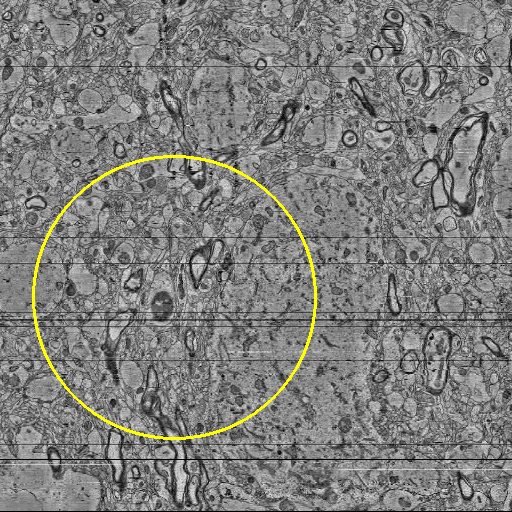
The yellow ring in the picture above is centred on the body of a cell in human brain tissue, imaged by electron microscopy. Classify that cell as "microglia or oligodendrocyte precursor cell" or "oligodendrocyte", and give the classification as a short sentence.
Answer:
The cell in the middle of the ring is a microglial cell or oligodendrocyte precursor cell.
